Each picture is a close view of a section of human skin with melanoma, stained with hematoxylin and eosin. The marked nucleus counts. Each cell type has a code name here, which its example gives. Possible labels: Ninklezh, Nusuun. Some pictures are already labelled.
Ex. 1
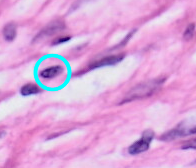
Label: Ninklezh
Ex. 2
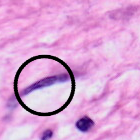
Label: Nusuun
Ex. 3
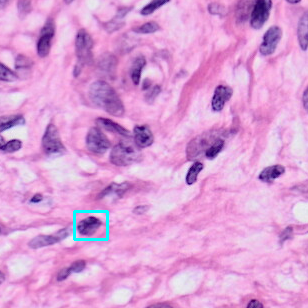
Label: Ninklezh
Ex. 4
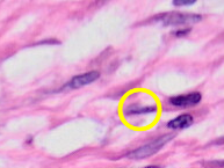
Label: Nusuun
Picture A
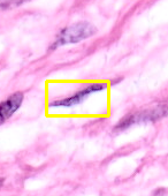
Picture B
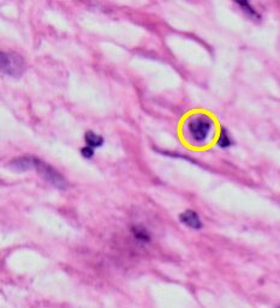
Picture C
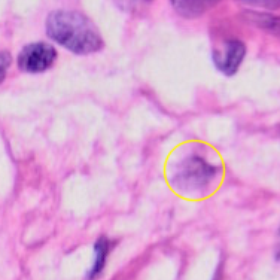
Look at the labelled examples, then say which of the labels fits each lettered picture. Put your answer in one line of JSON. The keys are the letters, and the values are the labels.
{"A": "Nusuun", "B": "Ninklezh", "C": "Nusuun"}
